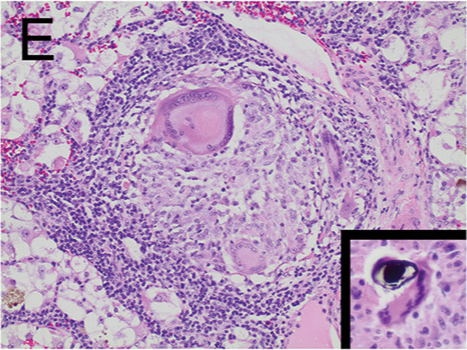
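This shows a tight granuloma within the tumor, with a multinucleated giant cell and a cuff of lymphocytes. Pale pink epithelioid cells surround it, and a broad band of small dark lymphocytes encircles the whole nodule. Clear tumor cells lie beyond, at the edges. The inset shows a dark purple-black, shell-like concentric calcified body inside a cell.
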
